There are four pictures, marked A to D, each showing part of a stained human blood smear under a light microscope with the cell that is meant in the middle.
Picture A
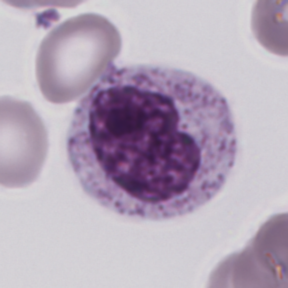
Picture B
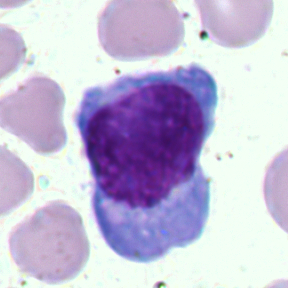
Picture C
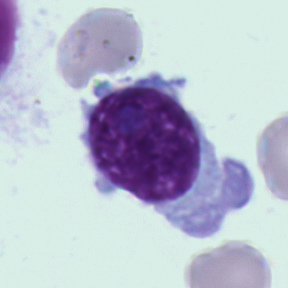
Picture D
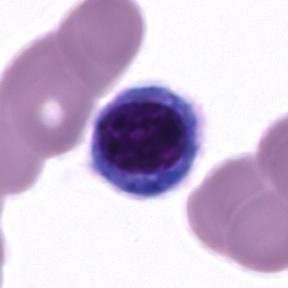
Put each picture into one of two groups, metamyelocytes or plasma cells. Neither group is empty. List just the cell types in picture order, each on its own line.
metamyelocyte
plasma cell
plasma cell
plasma cell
